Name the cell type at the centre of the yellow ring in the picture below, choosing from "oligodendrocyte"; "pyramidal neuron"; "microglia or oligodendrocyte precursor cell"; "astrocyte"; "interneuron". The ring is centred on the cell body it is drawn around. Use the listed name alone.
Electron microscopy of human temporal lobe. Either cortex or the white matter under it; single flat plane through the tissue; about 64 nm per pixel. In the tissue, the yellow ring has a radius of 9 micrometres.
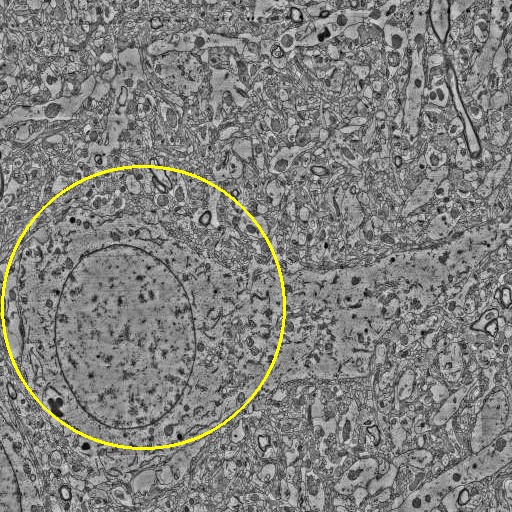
pyramidal neuron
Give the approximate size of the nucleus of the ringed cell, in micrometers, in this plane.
In this plane, the nucleus of the cell at the centre of the ring measures about 12 by 9 micrometres.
